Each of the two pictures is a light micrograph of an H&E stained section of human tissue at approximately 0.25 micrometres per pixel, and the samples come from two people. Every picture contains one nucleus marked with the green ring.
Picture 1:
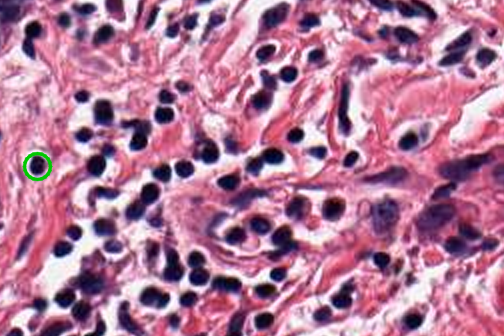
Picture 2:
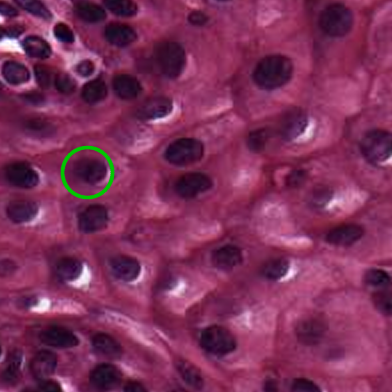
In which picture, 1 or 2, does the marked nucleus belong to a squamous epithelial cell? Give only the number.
2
